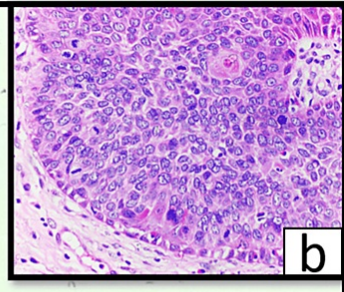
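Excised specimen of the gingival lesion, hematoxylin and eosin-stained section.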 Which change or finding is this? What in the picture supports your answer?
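Nuclei differ in size and shape from cell to cell. Crowded cells with dark, irregular nuclei and scant cytoplasm. That points to this answer: nuclear and cellular pleomorphism.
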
